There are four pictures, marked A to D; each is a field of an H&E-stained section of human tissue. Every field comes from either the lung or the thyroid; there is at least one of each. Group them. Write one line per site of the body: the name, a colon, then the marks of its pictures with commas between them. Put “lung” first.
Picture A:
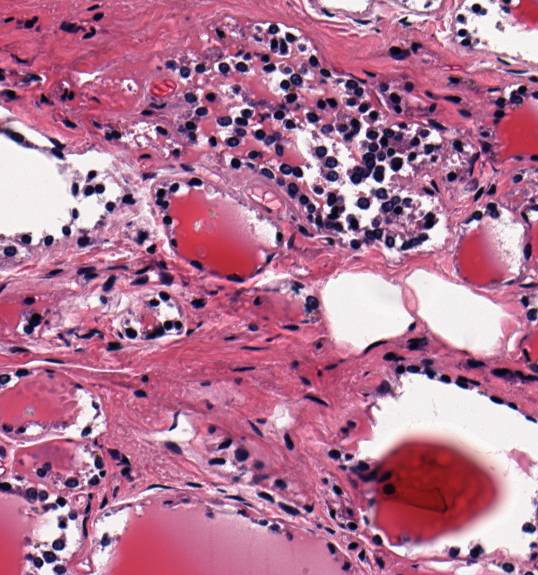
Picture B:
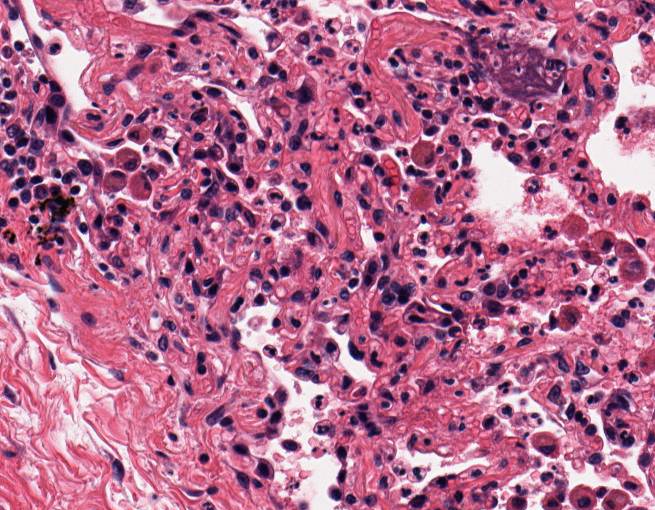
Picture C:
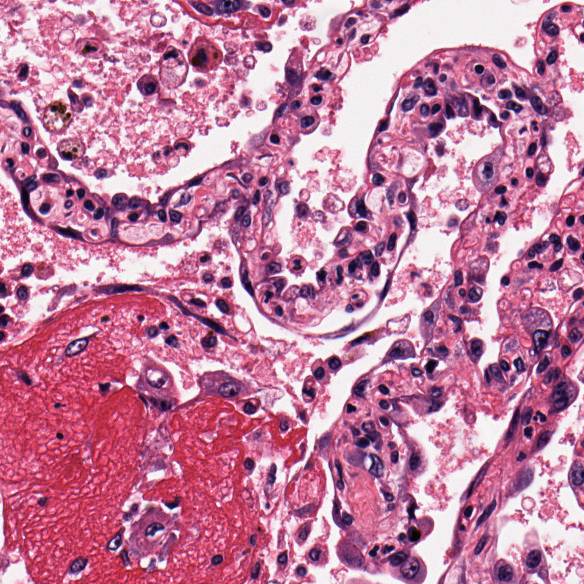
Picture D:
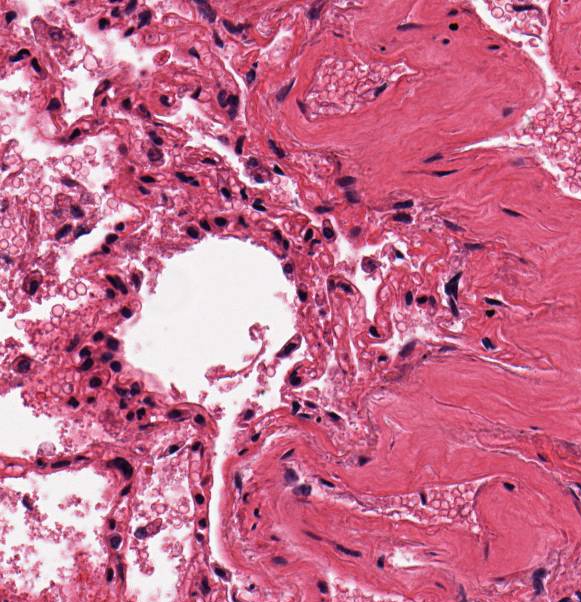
lung: B, C, D
thyroid: A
